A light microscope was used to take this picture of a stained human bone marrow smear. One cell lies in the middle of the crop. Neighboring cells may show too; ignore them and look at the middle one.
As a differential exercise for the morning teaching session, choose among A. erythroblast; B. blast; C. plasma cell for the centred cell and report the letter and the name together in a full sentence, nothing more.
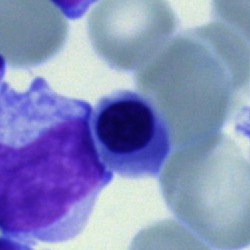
Option A is correct in that the central cell is an erythroblast.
